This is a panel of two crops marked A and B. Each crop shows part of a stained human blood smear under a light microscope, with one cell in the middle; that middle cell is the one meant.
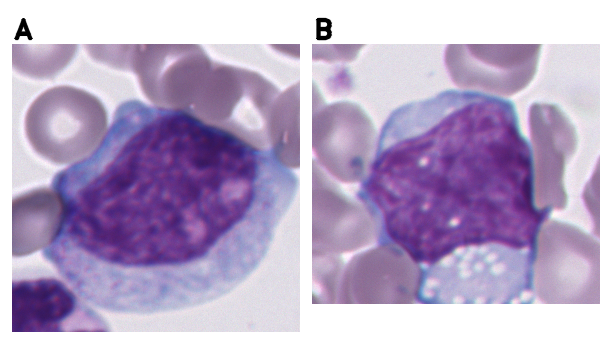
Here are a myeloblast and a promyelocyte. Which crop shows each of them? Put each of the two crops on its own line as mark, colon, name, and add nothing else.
A: promyelocyte
B: myeloblast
